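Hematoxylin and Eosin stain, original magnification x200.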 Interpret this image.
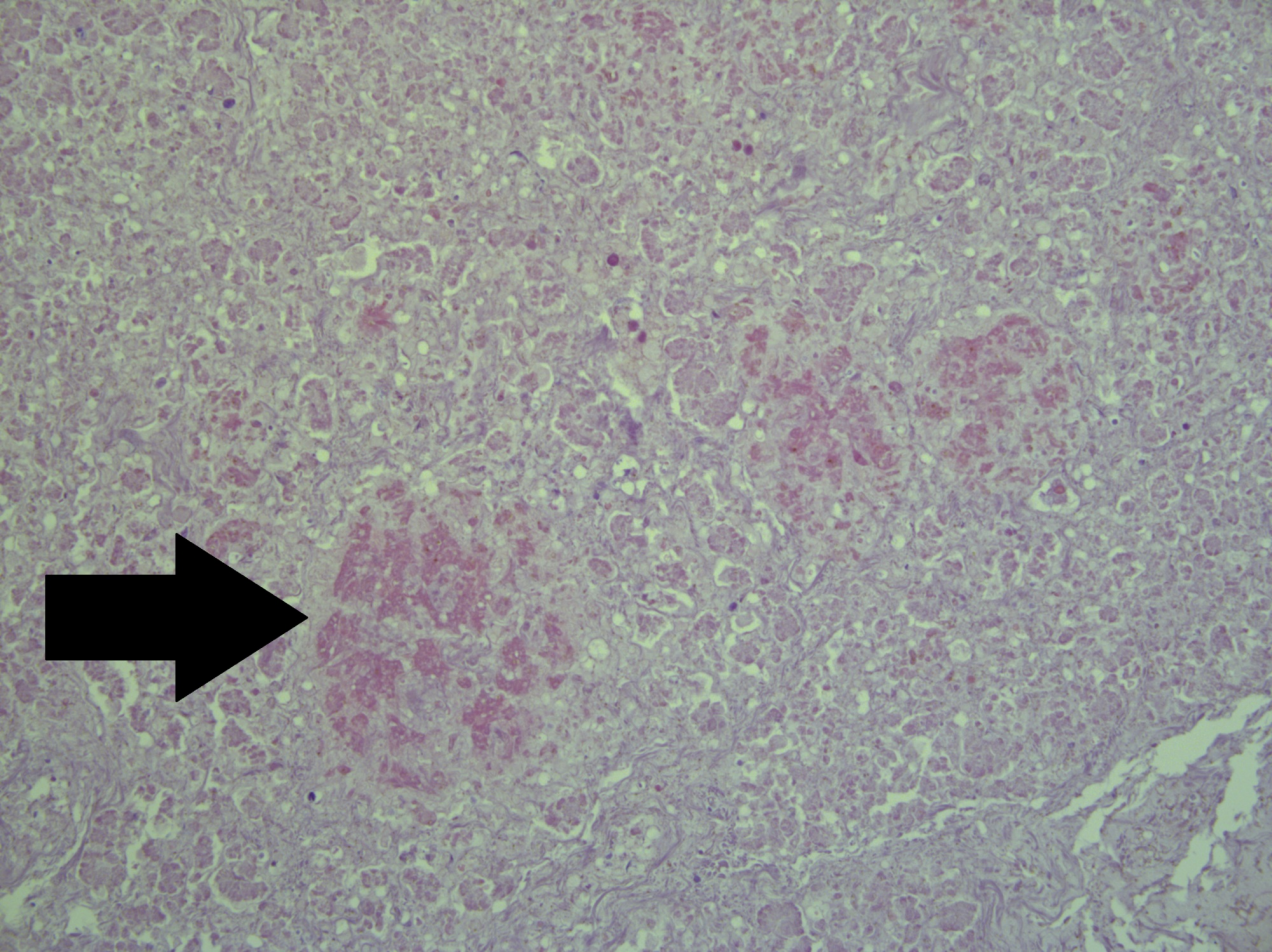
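This is pale-pink parenchyma with badly preserved cells. Almost none of the nuclei take up the blue stain, and only a few scattered dark-blue dots remain. The cells form small clusters with blurred borders and pale, granular cytoplasm. Small clear vacuoles and slit-like spaces are scattered through the tissue. Several rounded areas stand out because they are more deeply pink than the tissue around them. The clearest of these lies at lower left and contains clumped, amorphous pink material. At lower right, a band of looser tissue is crossed by elongated clear spaces.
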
